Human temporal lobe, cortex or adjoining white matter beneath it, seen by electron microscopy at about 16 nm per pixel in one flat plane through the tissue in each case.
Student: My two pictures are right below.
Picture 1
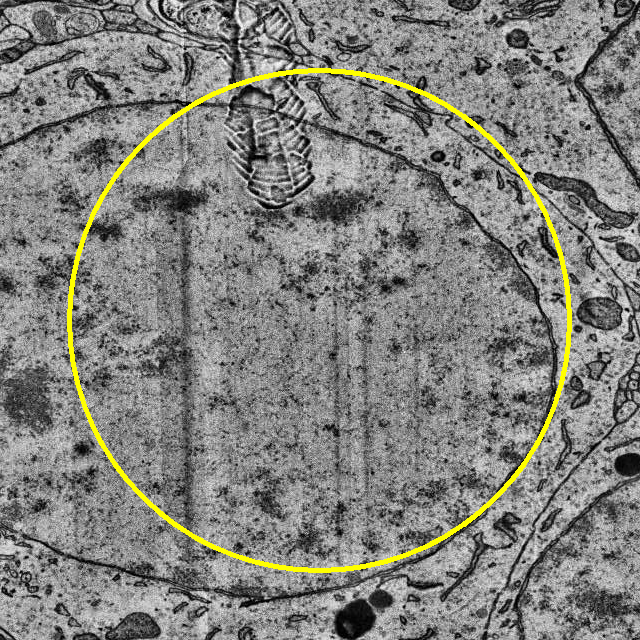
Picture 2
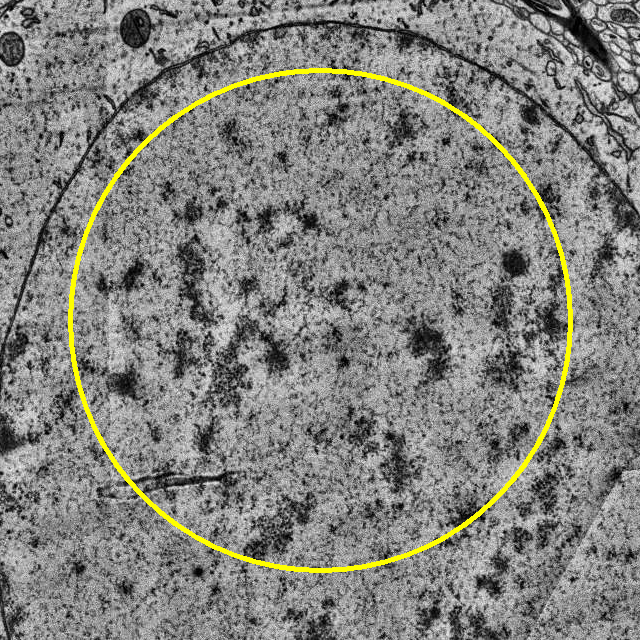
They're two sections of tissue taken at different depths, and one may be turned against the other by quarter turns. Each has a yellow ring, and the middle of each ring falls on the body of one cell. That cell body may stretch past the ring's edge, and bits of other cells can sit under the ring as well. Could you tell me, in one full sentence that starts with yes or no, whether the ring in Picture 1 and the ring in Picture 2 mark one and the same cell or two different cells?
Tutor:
No, in this micrograph the two rings mark two different cells.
